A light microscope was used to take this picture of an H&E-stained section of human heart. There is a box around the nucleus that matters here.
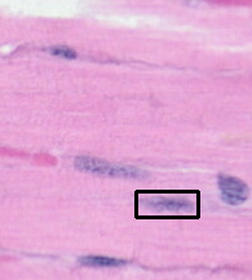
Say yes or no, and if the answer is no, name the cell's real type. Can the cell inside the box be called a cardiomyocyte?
No, it is an endothelial cell.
